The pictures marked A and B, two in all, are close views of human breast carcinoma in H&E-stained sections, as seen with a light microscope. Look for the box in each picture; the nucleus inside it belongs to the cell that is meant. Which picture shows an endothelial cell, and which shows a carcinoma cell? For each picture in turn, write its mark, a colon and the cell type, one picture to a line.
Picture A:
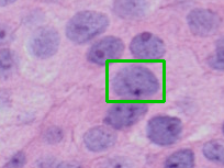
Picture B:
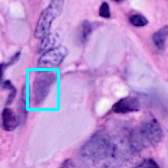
A: carcinoma cell
B: endothelial cell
